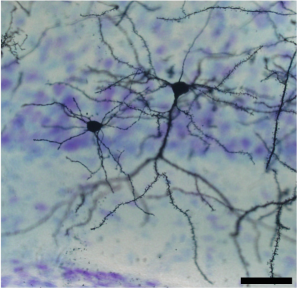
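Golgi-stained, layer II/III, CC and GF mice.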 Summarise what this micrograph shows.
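These are pyramidal neurons of the cortex, impregnated black so that each whole cell stands out against a pale background of purple-stained nuclei. Each cell body is small and dark, and several dendrites spread out from it in a roughly star-like pattern. One stout main dendrite runs away from the cell body and divides into branches farther out. Along the finer branches you can see tiny spines, giving them a beaded, fuzzy outline.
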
